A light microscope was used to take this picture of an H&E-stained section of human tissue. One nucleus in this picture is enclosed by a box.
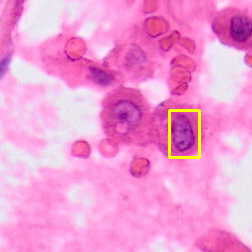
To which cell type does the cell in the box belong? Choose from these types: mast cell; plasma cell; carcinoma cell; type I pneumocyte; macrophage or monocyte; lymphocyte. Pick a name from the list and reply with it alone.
macrophage or monocyte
